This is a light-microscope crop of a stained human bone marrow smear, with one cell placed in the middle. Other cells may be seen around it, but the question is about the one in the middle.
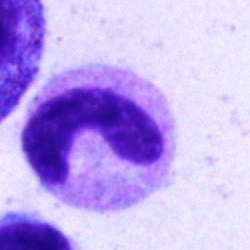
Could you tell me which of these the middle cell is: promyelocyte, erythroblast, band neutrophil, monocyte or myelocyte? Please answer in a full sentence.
What the crop centres on is a band neutrophil.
